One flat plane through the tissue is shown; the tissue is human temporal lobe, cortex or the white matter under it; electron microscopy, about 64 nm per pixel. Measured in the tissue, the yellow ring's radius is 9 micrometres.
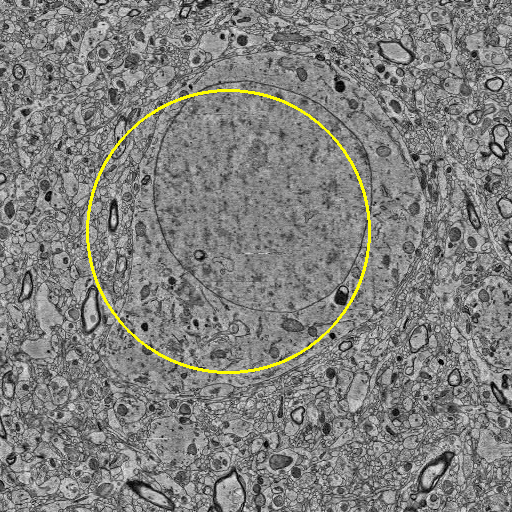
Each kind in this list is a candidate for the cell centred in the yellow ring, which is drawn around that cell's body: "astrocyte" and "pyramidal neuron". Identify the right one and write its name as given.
pyramidal neuron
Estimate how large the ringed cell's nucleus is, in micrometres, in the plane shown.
About 15 micrometres across, as seen in this plane.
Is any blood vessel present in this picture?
No, none shows.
